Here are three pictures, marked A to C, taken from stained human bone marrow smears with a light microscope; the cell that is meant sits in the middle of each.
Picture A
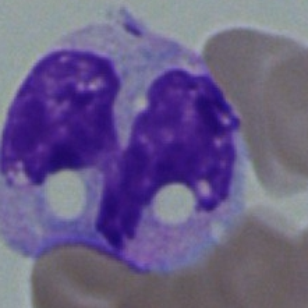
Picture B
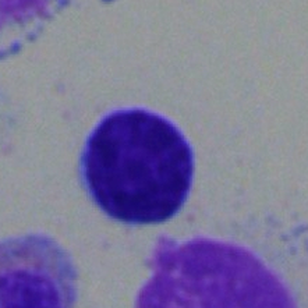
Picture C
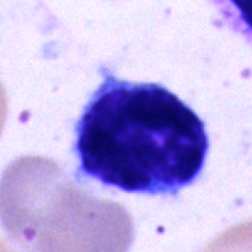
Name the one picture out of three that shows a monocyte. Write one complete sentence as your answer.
The picture with the monocyte is A.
